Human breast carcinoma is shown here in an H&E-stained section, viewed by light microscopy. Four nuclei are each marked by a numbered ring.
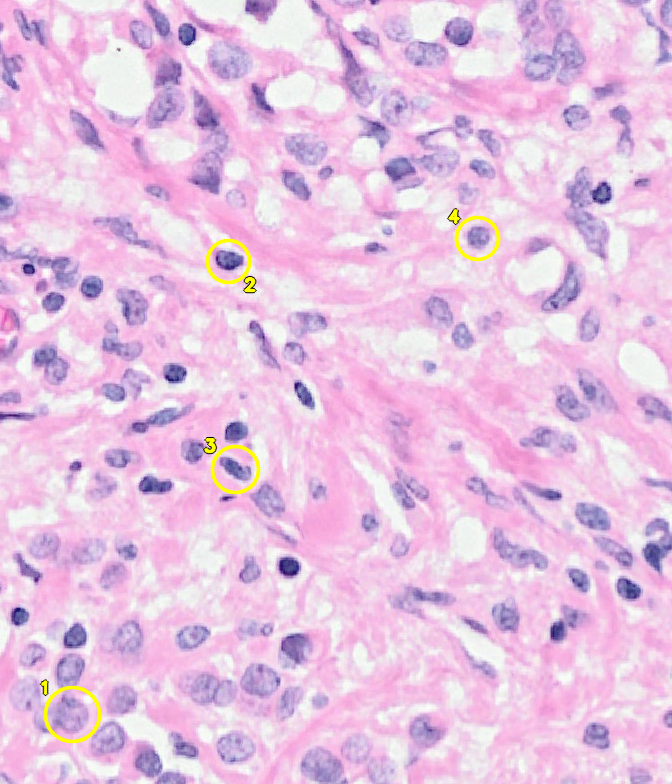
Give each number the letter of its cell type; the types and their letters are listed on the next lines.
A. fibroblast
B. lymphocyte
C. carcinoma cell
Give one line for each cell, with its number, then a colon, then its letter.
1: C
2: B
3: B
4: B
